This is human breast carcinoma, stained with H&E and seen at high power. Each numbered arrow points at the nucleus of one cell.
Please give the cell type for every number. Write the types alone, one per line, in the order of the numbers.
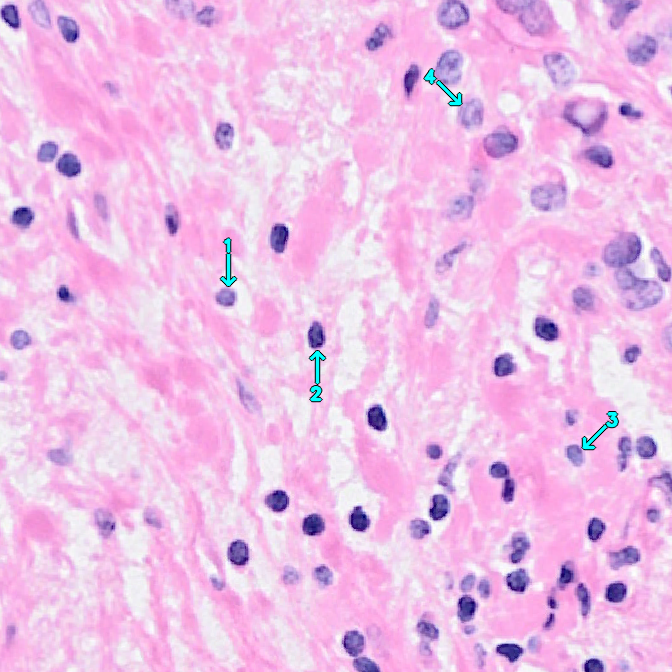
lymphocyte
lymphocyte
lymphocyte
carcinoma cell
